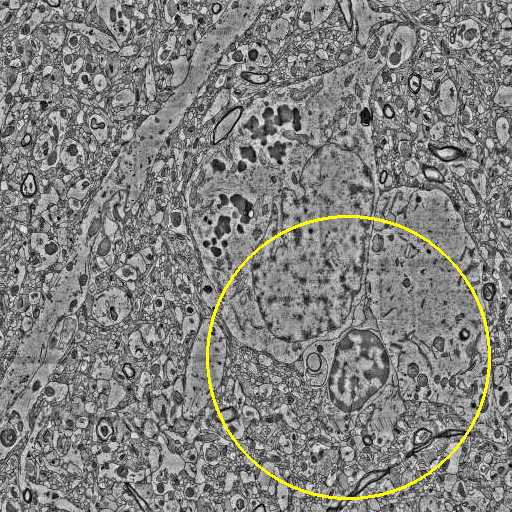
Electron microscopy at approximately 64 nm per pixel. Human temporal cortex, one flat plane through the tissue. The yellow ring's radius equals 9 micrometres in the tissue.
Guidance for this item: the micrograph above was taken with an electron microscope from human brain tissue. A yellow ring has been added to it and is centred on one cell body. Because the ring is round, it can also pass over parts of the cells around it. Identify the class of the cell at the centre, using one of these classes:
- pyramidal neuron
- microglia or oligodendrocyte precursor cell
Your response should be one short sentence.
The ring surrounds the body of a microglial cell or oligodendrocyte precursor cell.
